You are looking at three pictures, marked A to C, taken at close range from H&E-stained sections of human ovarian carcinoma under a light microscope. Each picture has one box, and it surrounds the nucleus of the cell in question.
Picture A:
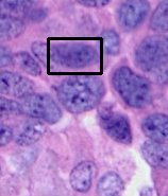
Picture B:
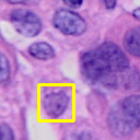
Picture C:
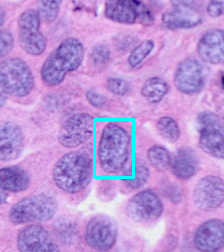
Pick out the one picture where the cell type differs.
B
